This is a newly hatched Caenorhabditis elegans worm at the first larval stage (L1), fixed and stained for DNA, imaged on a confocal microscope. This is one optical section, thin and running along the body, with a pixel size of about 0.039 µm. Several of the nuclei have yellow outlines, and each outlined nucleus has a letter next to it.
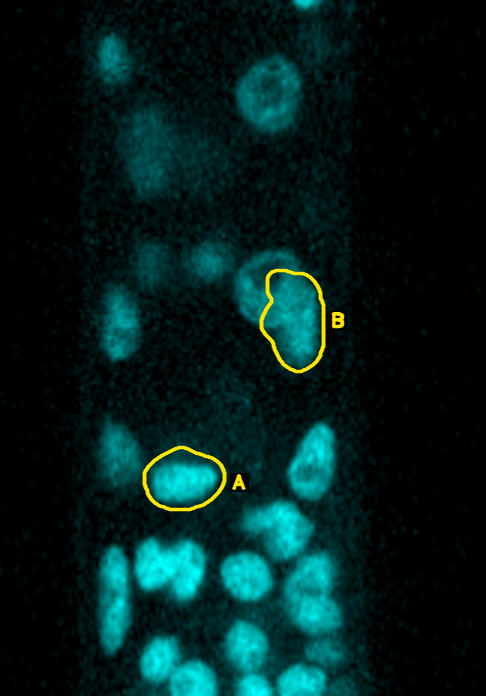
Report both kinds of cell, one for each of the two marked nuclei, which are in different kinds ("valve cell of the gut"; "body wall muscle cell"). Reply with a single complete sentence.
B belongs to a body wall muscle cell, and A to a valve cell of the gut.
